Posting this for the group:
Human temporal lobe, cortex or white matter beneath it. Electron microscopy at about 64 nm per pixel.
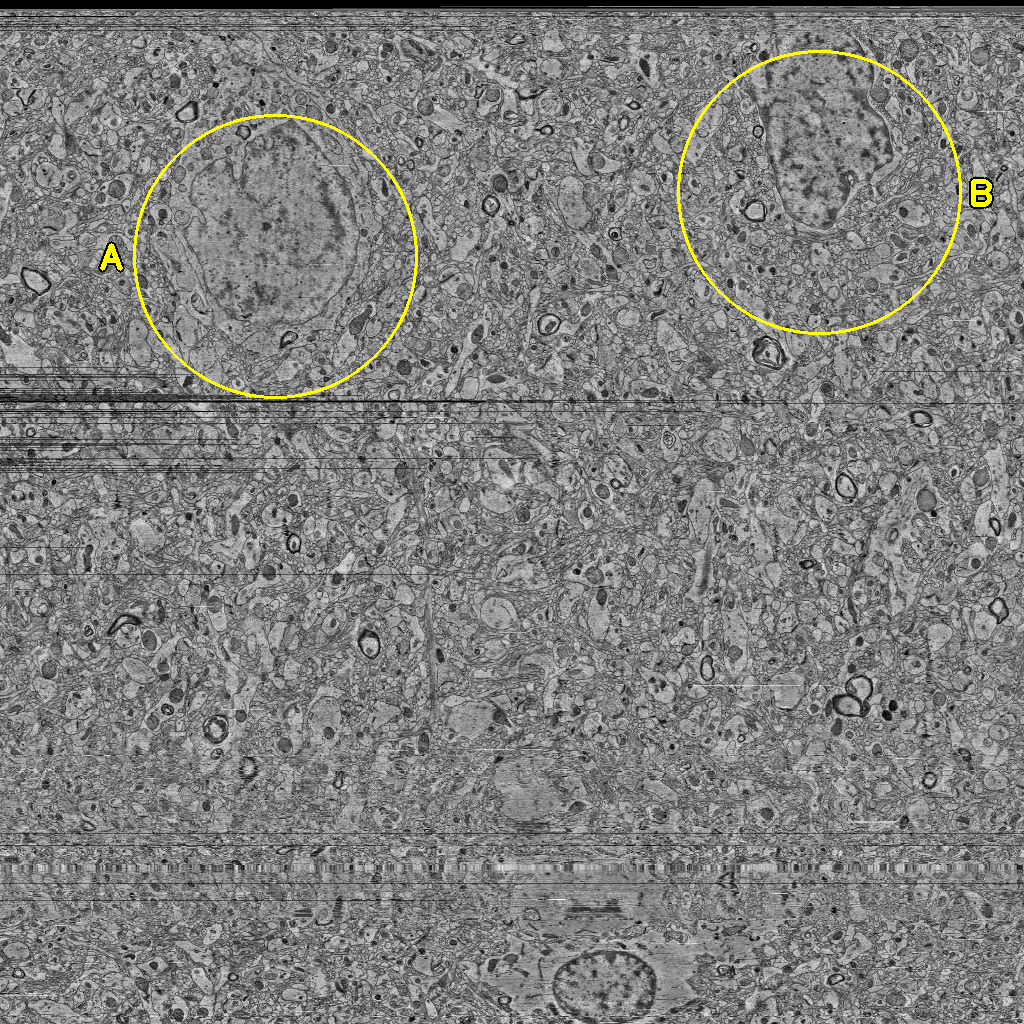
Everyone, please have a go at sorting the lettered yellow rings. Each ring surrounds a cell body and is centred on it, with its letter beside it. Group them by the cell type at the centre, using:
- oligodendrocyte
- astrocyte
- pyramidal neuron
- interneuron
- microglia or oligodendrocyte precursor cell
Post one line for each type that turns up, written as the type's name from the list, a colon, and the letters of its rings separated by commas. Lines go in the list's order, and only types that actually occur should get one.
interneuron: A
microglia or oligodendrocyte precursor cell: B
